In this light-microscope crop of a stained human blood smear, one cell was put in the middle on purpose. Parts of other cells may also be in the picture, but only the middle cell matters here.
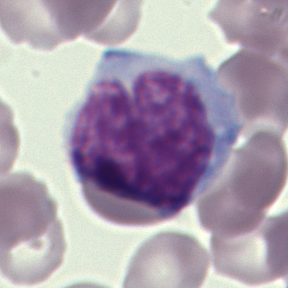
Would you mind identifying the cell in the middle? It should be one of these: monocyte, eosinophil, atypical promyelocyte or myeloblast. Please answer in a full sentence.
Located at the centre of the crop is a myeloblast.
